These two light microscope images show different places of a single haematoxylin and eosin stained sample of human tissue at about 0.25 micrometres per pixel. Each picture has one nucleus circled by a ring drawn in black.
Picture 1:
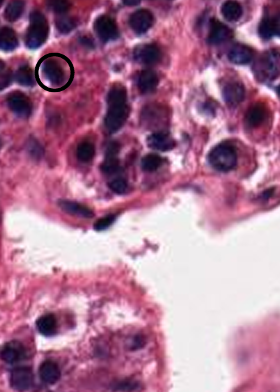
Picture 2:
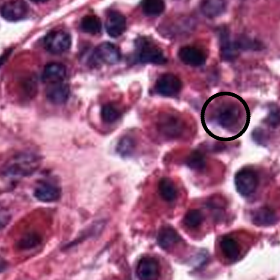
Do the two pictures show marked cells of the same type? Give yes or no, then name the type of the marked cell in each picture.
Yes, both are anterior pituitary cells.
